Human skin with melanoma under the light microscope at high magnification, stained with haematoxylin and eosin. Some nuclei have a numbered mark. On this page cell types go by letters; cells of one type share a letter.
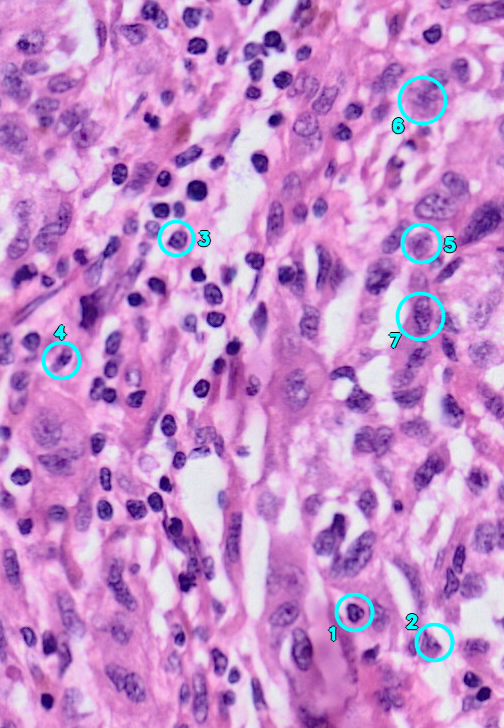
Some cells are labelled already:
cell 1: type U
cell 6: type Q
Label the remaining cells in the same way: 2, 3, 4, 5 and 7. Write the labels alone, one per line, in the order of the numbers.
type Q
type U
type U
type Q
type Q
